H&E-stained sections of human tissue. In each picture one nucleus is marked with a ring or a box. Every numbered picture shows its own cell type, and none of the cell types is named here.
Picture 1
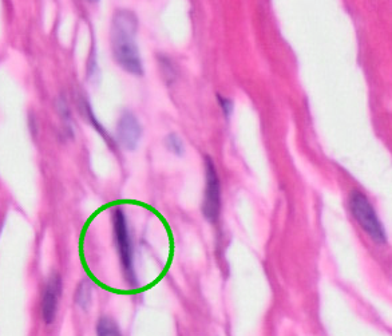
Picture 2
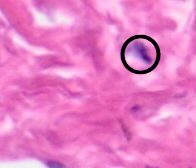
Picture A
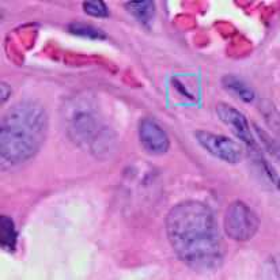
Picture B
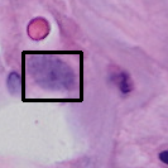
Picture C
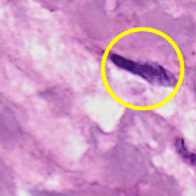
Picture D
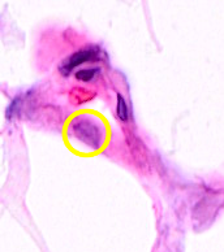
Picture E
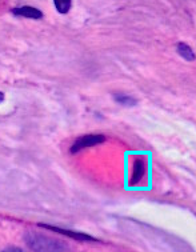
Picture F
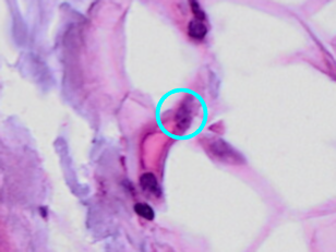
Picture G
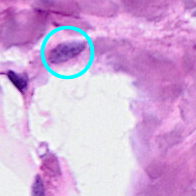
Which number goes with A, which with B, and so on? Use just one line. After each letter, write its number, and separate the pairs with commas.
A 1, B 1, C 2, D 1, E 1, F 1, G 2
